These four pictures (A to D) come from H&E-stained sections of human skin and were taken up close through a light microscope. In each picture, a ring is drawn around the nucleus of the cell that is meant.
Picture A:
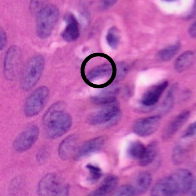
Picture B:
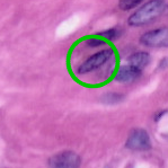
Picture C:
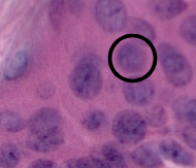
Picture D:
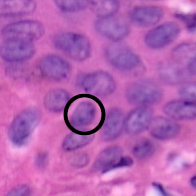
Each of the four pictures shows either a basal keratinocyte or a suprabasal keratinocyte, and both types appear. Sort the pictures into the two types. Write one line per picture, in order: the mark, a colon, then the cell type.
A: basal keratinocyte
B: basal keratinocyte
C: suprabasal keratinocyte
D: basal keratinocyte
